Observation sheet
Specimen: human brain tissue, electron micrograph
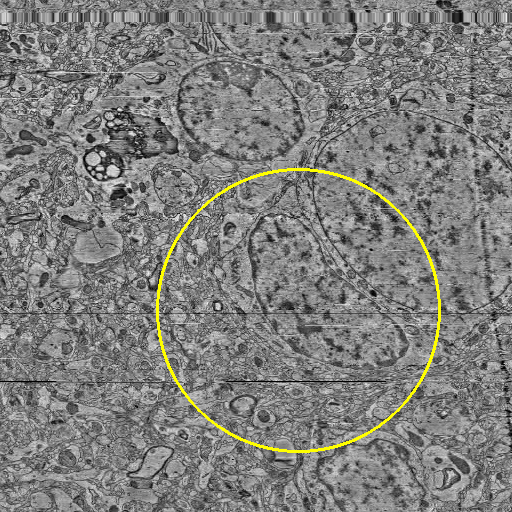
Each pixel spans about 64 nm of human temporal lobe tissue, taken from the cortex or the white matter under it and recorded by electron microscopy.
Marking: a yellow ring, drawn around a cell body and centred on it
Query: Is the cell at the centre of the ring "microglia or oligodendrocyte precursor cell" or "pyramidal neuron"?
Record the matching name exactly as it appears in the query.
microglia or oligodendrocyte precursor cell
